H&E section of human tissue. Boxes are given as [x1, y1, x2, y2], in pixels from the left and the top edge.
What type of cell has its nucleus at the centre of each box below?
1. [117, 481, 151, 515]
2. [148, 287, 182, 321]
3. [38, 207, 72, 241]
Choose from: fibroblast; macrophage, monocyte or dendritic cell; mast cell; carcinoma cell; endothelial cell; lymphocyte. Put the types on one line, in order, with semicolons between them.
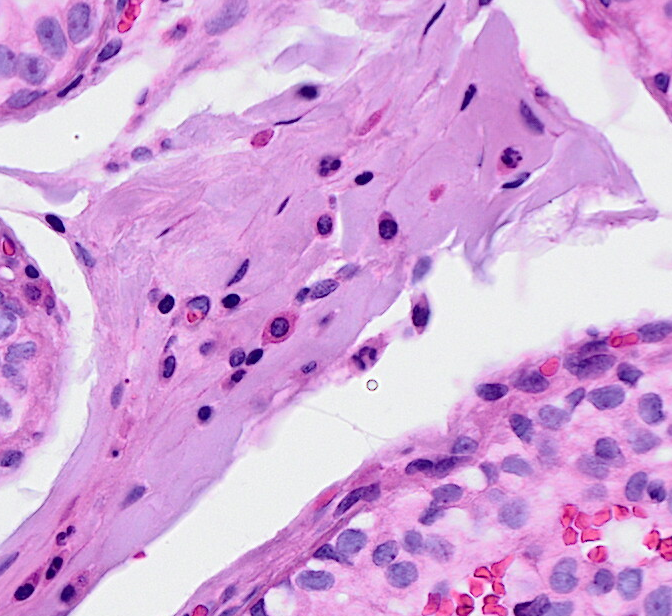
fibroblast; lymphocyte; lymphocyte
